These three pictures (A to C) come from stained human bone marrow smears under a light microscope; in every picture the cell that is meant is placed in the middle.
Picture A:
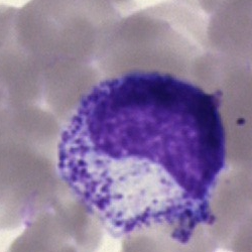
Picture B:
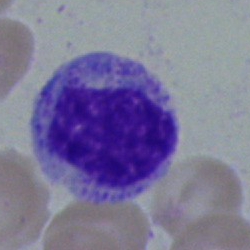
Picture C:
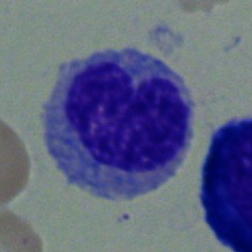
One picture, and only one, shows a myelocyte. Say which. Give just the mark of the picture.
B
